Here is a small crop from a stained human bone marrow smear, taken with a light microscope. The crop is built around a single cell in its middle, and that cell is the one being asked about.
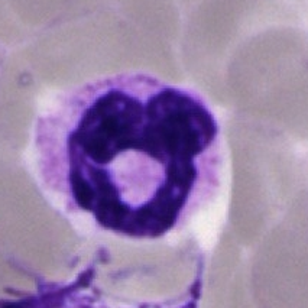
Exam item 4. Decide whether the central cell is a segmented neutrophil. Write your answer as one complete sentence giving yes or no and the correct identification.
Yes, it is a segmented neutrophil that occupies the centre of the crop.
